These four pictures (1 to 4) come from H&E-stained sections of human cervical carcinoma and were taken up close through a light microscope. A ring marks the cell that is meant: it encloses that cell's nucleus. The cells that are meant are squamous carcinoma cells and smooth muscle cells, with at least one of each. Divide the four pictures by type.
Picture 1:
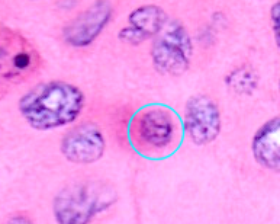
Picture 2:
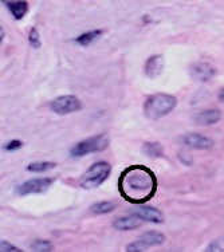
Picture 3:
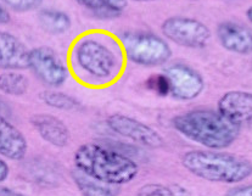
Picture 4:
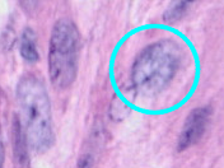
1: squamous carcinoma cell
2: smooth muscle cell
3: squamous carcinoma cell
4: squamous carcinoma cell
